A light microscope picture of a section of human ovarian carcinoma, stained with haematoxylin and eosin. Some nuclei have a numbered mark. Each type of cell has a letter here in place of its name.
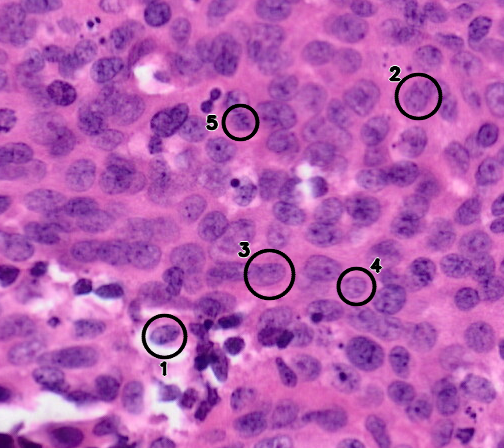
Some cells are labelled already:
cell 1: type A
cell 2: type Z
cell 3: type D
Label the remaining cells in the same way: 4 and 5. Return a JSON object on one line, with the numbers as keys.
{"4": "type Z", "5": "type D"}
